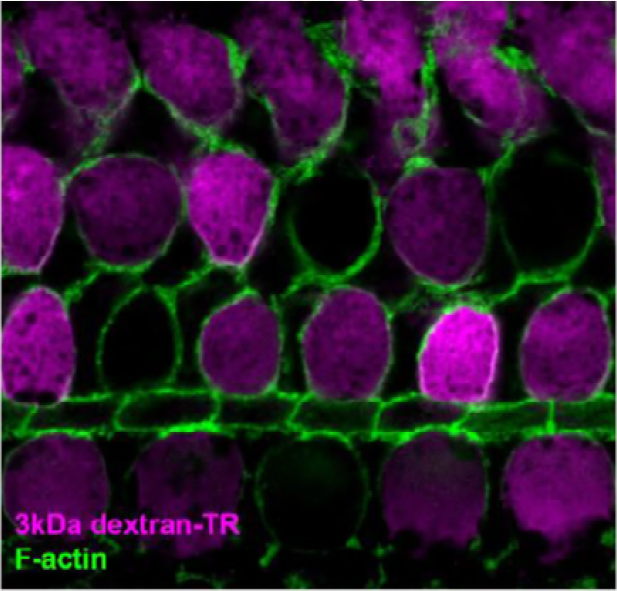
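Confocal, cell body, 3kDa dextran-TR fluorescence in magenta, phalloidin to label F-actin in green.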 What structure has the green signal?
Hair cell boundaries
